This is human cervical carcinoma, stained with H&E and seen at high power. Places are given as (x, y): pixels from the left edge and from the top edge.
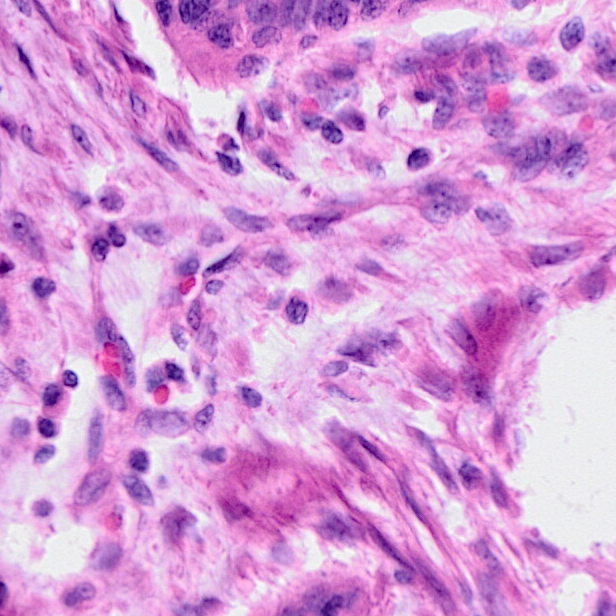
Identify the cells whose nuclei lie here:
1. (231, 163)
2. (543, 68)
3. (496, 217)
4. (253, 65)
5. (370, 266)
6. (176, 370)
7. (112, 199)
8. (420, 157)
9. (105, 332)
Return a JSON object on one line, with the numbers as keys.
{"1": "lymphocyte", "2": "macrophage or monocyte", "3": "fibroblast", "4": "squamous carcinoma cell", "5": "fibroblast", "6": "lymphocyte", "7": "macrophage or monocyte", "8": "lymphocyte", "9": "endothelial cell"}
